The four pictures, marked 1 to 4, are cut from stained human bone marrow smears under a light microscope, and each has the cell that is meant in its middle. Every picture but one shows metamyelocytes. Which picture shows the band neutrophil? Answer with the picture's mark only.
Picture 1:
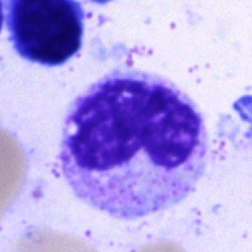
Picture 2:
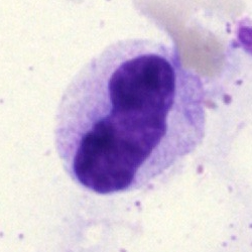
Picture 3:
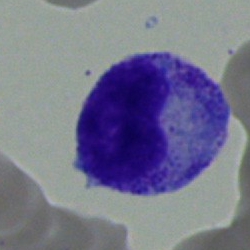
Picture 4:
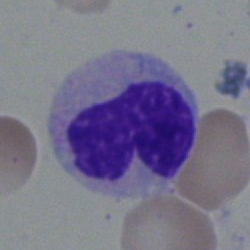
2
